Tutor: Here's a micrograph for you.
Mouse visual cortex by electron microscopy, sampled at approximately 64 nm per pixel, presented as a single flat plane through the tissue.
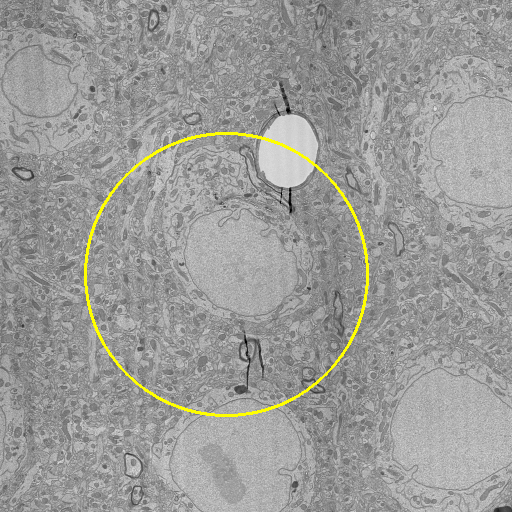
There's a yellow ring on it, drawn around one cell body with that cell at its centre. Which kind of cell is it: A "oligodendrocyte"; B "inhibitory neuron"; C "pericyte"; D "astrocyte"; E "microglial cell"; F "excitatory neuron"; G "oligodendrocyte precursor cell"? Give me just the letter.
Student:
B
